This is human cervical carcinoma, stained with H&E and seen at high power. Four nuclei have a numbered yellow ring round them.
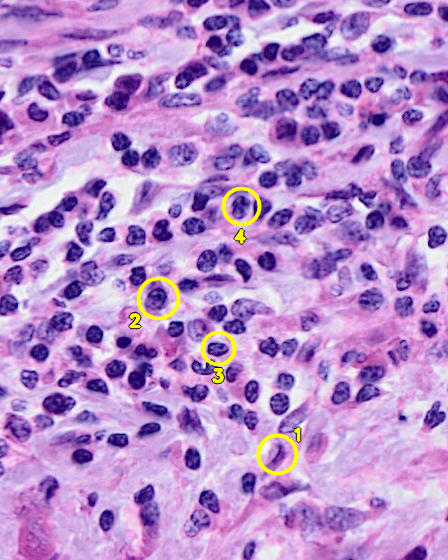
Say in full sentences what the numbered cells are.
Cell 1 is a macrophage or monocyte, cell 2 is a lymphocyte, cell 3 is a lymphocyte and cell 4 is a lymphocyte.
